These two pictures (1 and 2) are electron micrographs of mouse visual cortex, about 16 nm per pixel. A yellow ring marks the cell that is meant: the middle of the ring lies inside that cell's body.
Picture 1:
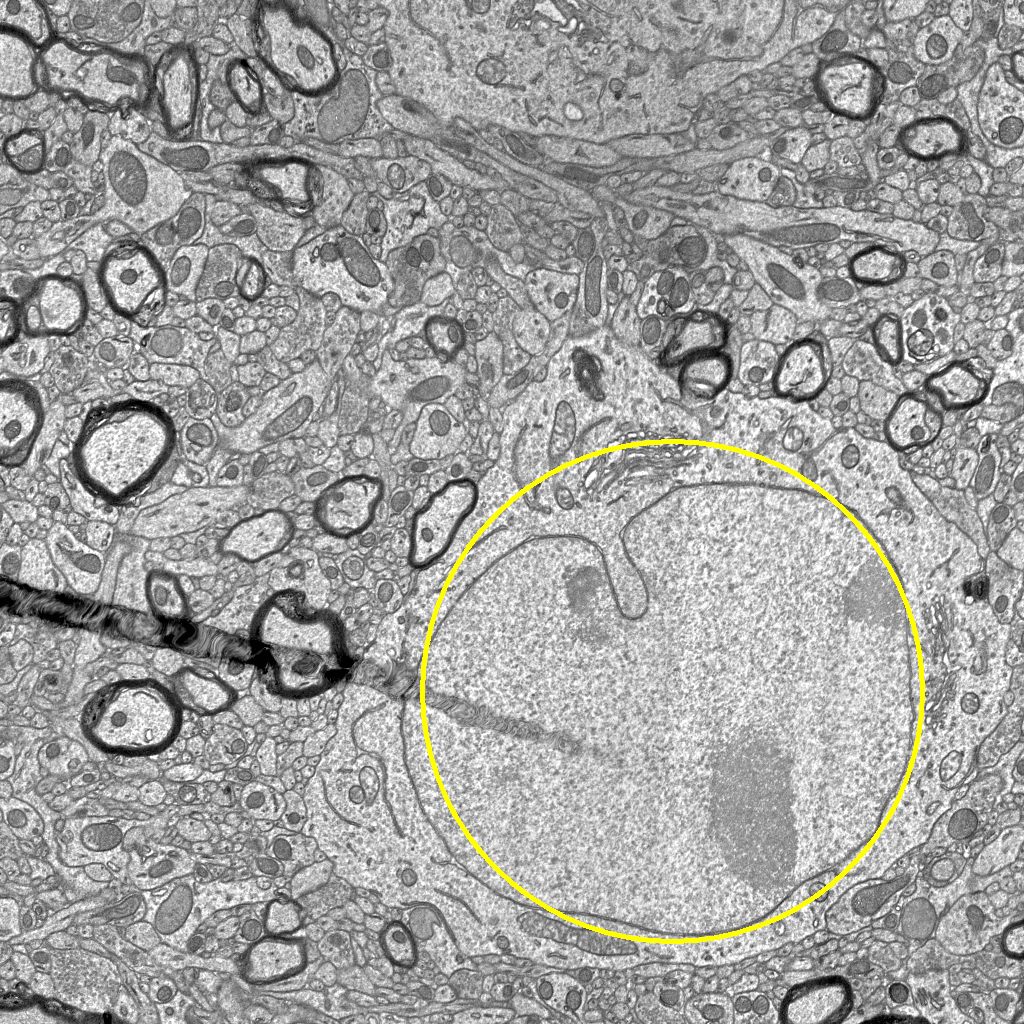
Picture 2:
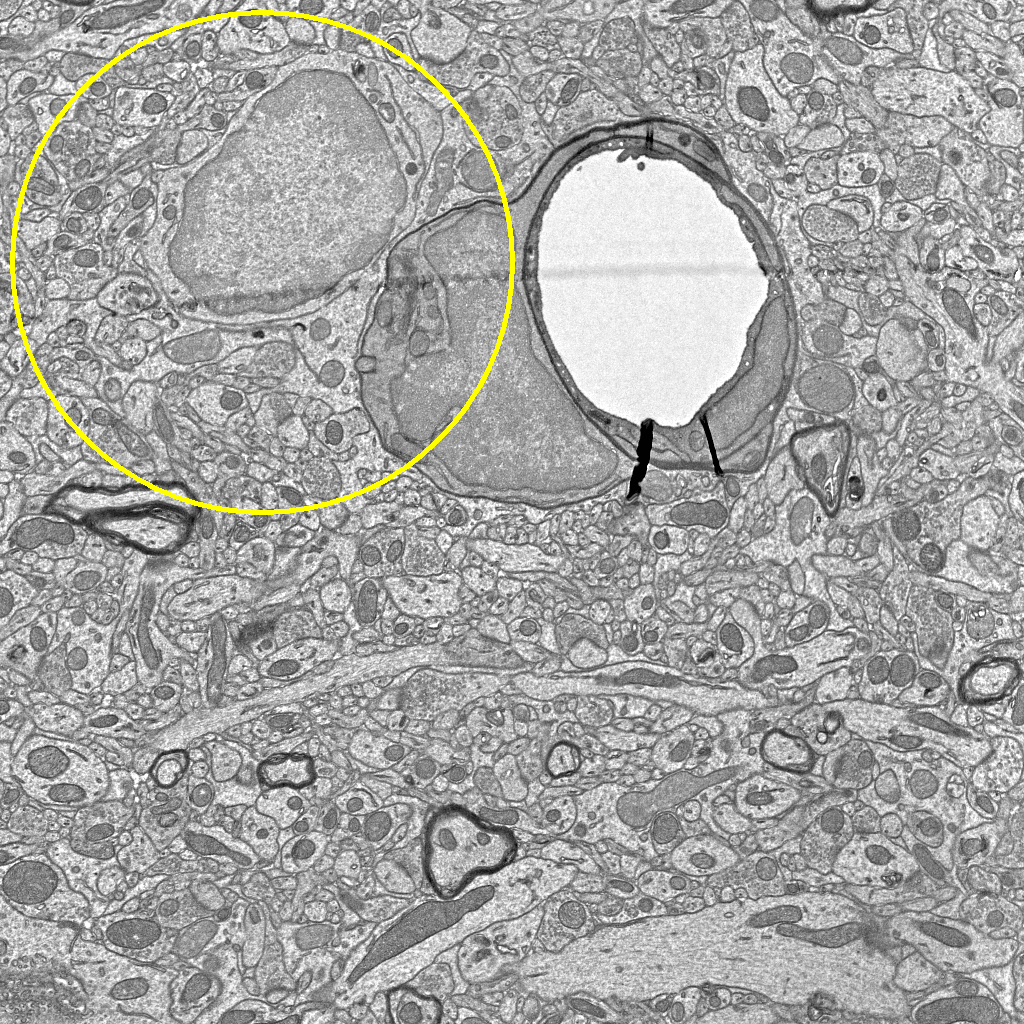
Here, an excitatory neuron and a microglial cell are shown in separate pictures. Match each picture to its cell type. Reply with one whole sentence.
Picture 1 is of an excitatory neuron, and picture 2 is of a microglial cell.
